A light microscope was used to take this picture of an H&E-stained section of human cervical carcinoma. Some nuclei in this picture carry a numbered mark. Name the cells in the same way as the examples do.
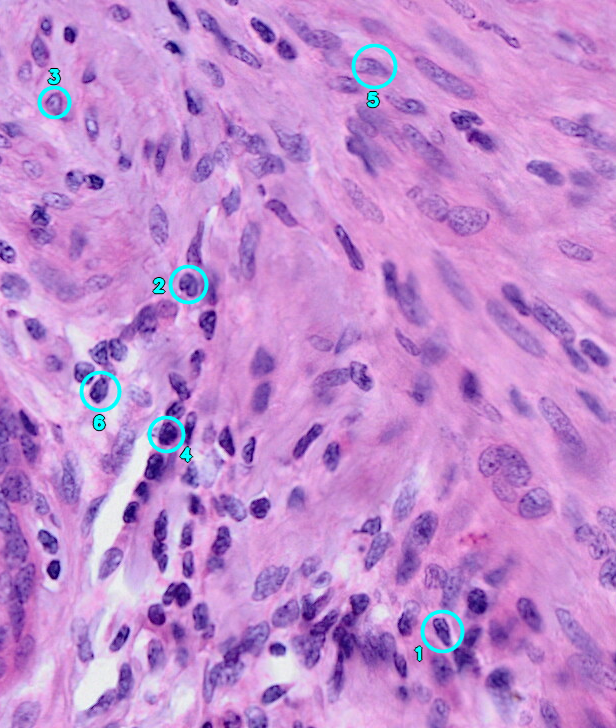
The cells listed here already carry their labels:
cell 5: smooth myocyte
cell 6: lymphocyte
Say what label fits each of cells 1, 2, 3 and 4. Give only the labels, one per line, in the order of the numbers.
lymphocyte
lymphocyte
smooth myocyte
lymphocyte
